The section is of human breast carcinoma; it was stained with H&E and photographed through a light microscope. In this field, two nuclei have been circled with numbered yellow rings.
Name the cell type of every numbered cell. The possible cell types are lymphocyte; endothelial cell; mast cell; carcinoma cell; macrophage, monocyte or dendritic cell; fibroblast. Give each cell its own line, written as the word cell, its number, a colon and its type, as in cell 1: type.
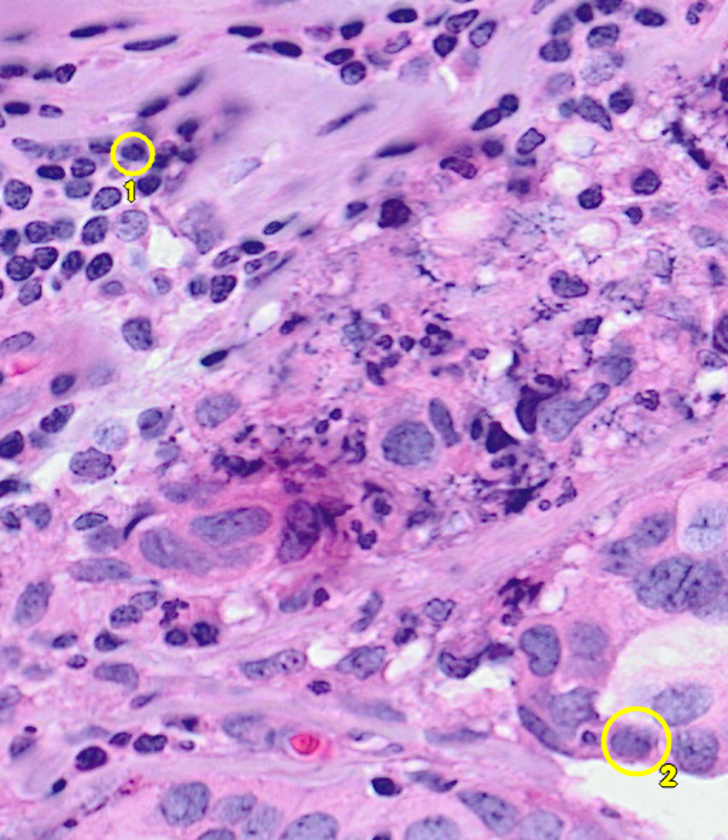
cell 1: lymphocyte
cell 2: carcinoma cell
